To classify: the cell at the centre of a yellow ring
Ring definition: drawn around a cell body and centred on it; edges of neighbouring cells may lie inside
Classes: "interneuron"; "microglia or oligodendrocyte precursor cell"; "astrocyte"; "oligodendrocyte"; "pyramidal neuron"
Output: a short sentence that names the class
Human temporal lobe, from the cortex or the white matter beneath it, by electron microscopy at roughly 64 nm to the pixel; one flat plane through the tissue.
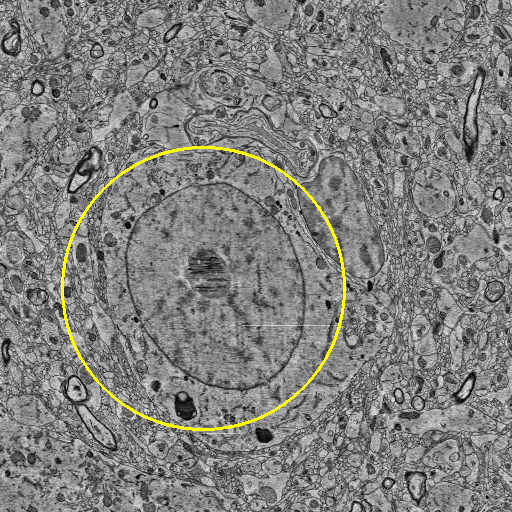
The ringed cell is a pyramidal neuron.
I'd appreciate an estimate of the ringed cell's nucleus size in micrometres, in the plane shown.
The nucleus comes to roughly 14 by 11 micrometres in this plane.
